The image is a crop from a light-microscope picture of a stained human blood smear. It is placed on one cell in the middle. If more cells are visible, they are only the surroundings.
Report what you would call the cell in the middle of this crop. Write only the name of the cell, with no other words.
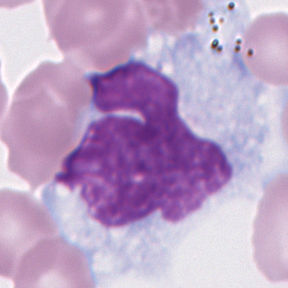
monocyte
